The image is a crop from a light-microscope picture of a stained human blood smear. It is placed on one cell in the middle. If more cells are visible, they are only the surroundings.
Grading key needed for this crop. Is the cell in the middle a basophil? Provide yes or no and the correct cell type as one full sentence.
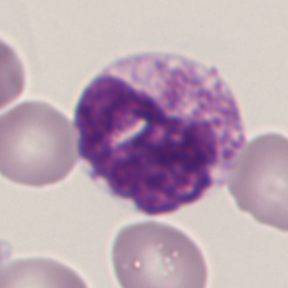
Yes, the cell in the center of the field is a basophil.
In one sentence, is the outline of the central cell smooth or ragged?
Smooth outline, no projections: that is the whole story of its edge.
